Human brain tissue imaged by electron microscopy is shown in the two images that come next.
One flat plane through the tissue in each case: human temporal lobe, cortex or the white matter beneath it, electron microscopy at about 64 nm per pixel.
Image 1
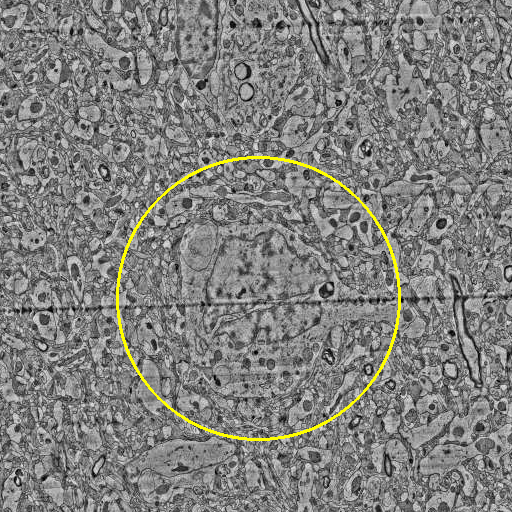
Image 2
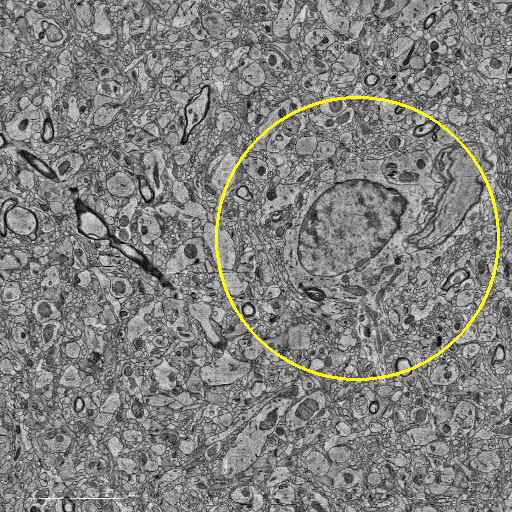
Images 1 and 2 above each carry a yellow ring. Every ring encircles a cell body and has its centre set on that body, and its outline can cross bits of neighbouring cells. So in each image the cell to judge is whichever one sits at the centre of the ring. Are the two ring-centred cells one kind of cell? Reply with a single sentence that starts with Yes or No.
No, in Image 1 and Image 2 the cells at the centres of their rings fall into two types.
